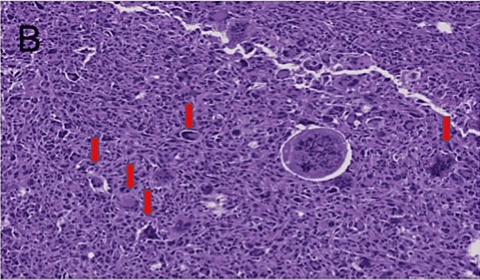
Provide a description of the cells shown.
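This field is crowded with tumour cells that differ widely from one another: pleomorphic cells with cytologic atypia. Their nuclei range from small and oval to large, dark and irregular, set in pink cytoplasm with indistinct borders. Scattered among them are much larger cells carrying several dark nuclei clustered together; these are multinucleated giant cells. Near the middle a round space holds a ball of dark, crumpled material, and a thin pale cleft runs across the upper part of the field. There is no orderly arrangement; the cells form a solid sheet.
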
